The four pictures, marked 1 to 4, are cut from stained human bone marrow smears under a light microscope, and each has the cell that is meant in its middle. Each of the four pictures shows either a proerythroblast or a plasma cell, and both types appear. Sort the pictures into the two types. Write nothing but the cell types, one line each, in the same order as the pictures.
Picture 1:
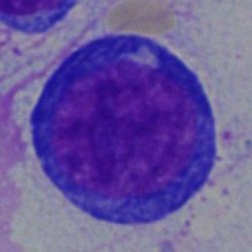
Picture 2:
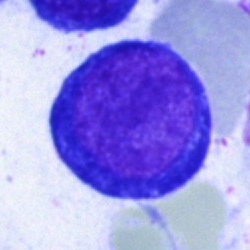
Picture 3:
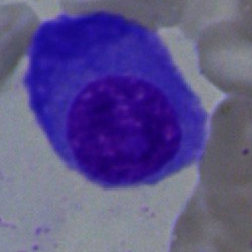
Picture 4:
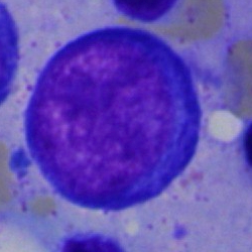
proerythroblast
proerythroblast
plasma cell
proerythroblast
